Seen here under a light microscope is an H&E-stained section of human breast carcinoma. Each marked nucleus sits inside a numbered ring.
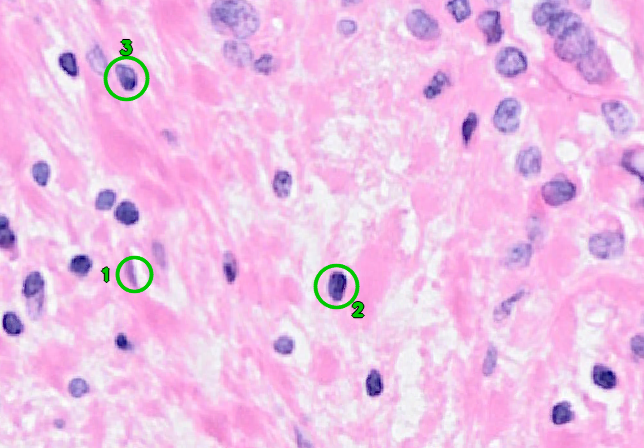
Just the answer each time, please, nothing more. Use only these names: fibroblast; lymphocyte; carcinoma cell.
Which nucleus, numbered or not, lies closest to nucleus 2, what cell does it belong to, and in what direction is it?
a lymphocyte; below and to the left of nucleus 2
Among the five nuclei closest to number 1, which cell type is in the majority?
lymphocyte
